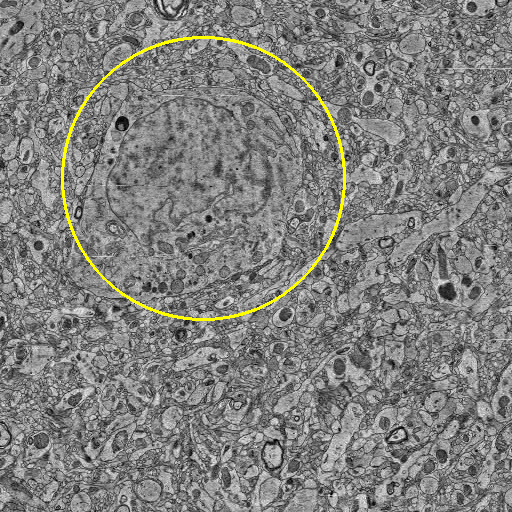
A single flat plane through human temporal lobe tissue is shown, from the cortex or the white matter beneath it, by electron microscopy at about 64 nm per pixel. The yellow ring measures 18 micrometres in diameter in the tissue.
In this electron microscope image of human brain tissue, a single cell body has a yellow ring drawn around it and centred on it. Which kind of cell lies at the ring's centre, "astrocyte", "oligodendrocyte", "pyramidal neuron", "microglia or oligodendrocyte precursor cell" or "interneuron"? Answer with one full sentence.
It is an interneuron whose cell body lies at the centre of the yellow ring here.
